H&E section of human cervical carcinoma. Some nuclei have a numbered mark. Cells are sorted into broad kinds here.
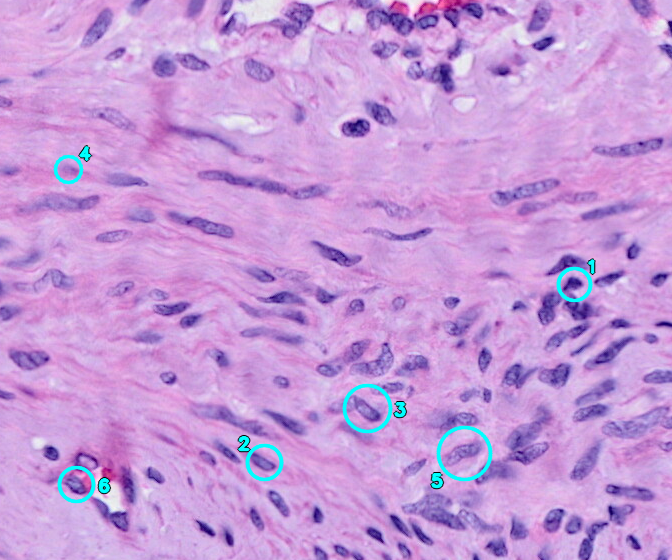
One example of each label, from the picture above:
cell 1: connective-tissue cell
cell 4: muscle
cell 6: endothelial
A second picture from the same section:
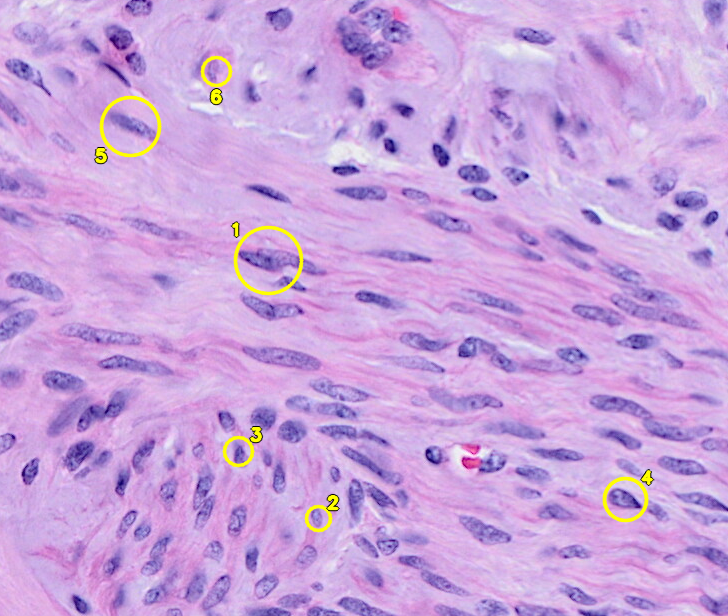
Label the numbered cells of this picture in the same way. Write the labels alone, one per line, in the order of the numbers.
muscle
muscle
muscle
muscle
connective-tissue cell
endothelial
